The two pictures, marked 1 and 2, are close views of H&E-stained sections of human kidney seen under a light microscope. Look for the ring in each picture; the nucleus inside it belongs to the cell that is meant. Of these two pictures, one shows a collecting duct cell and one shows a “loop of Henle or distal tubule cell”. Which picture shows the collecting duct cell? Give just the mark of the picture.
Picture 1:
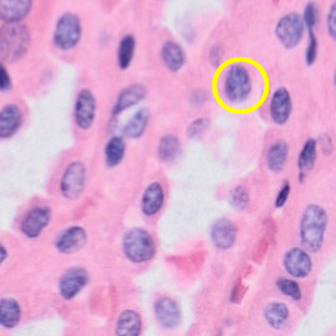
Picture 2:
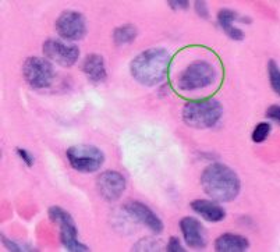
2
